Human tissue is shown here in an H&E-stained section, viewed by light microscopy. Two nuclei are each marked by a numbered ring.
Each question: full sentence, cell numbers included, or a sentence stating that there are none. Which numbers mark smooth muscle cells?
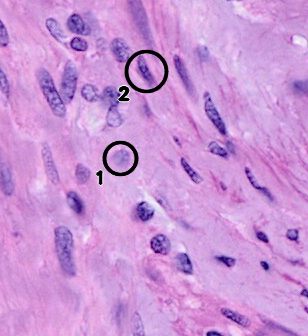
Only number 2 of the marked cells is a smooth muscle cell.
